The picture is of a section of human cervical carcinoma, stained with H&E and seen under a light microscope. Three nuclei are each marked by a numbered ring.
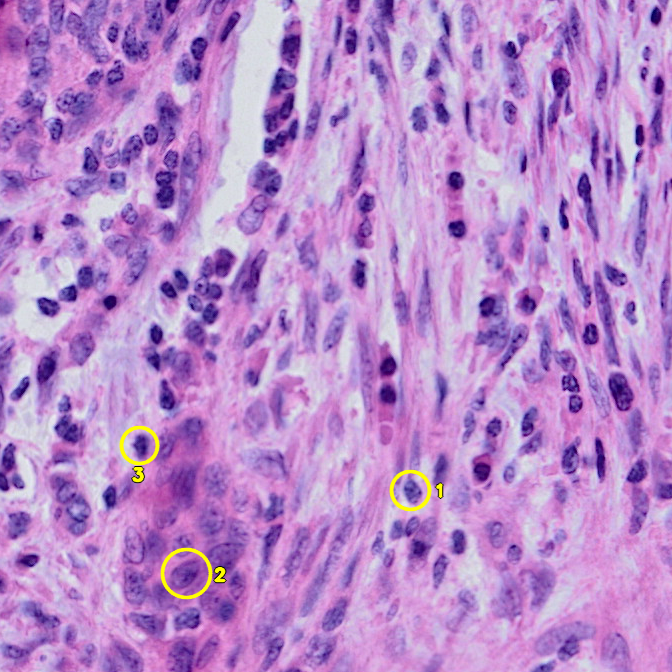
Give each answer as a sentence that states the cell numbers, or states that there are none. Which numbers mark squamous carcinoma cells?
Only one marked cell, number 2, is a squamous carcinoma cell.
